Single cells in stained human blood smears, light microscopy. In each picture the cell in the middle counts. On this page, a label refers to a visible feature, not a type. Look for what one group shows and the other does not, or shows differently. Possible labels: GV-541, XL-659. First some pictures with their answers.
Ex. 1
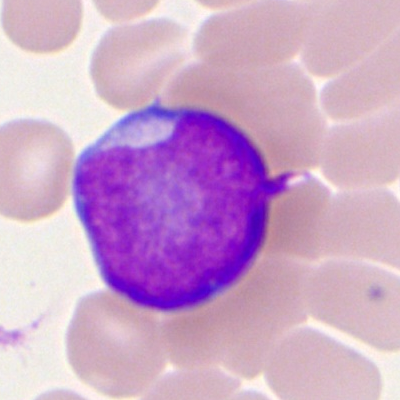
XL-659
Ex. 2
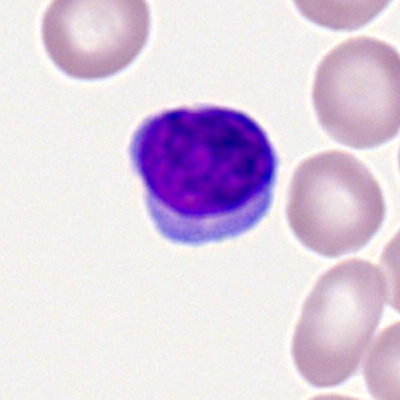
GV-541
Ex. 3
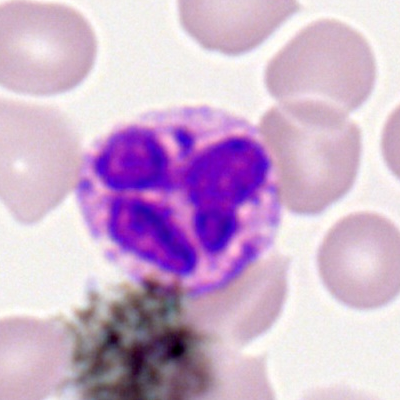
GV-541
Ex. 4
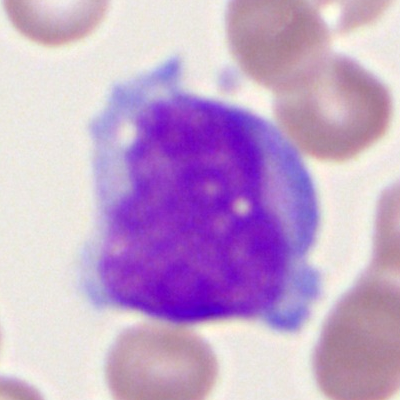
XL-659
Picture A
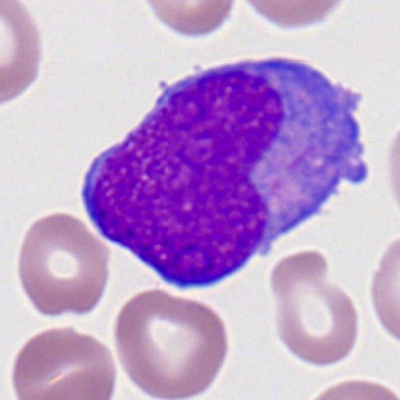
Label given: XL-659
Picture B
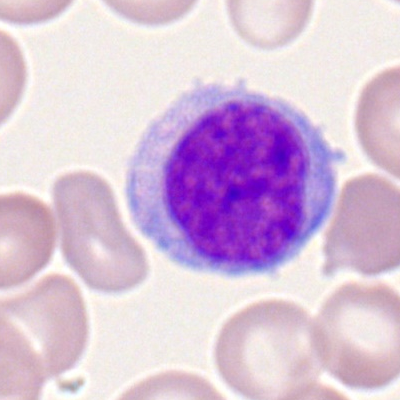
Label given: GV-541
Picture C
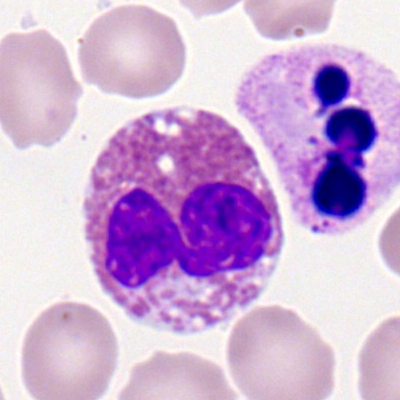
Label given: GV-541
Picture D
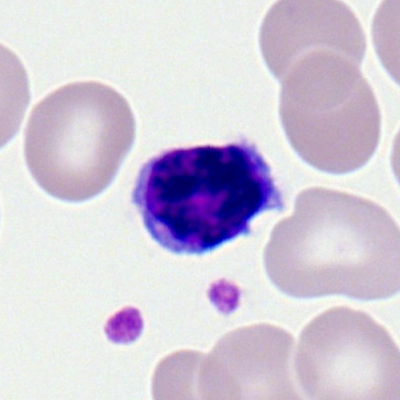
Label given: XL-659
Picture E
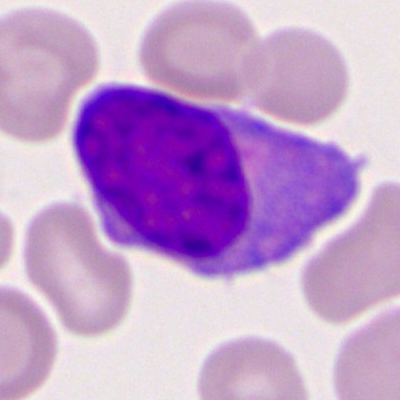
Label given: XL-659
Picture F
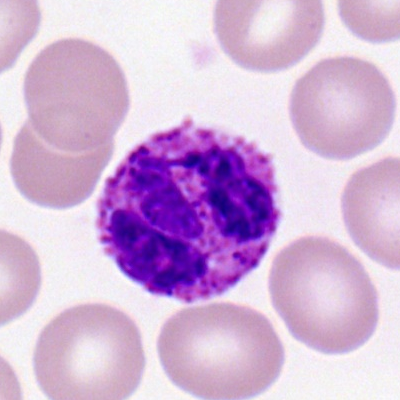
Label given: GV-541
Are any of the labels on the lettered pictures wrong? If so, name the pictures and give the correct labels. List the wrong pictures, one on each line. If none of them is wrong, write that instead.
B: not GV-541 but XL-659
F: not GV-541 but XL-659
